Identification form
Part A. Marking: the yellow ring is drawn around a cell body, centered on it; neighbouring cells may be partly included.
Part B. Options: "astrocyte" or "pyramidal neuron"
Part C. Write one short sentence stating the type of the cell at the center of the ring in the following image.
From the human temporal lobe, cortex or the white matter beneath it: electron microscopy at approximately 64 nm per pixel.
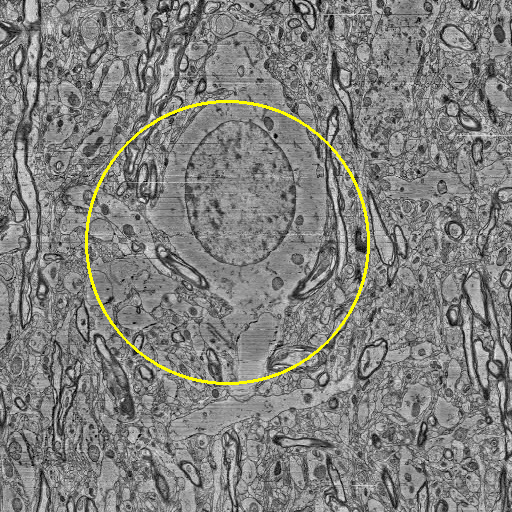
The center of the ring holds an astrocyte.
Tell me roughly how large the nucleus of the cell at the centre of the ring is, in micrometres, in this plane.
Roughly 10 by 7 micrometres in this plane, for the nucleus of the ringed cell.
